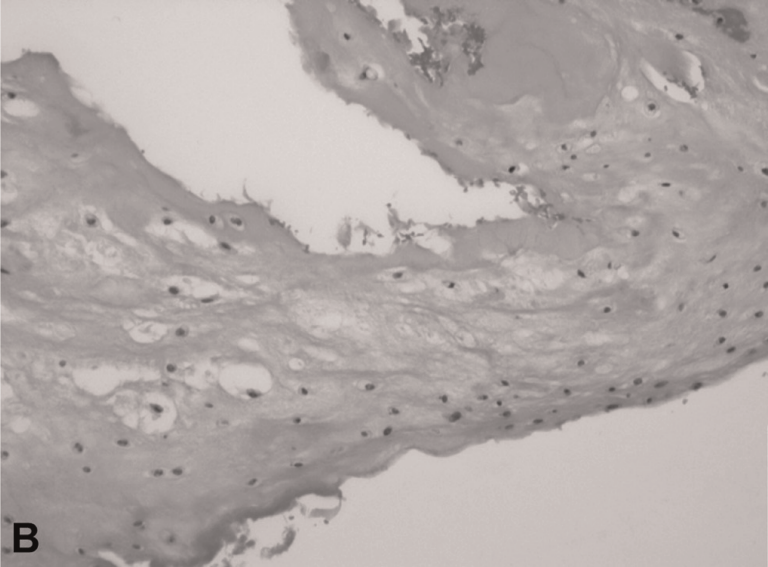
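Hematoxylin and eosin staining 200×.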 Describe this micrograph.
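This is fibrocartilaginous tissue, with small chondrocyte-like cells scattered through a dense, fairly homogeneous matrix. Faint fibrillar streaks run through the matrix, and the tissue has ragged edges that border empty spaces.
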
